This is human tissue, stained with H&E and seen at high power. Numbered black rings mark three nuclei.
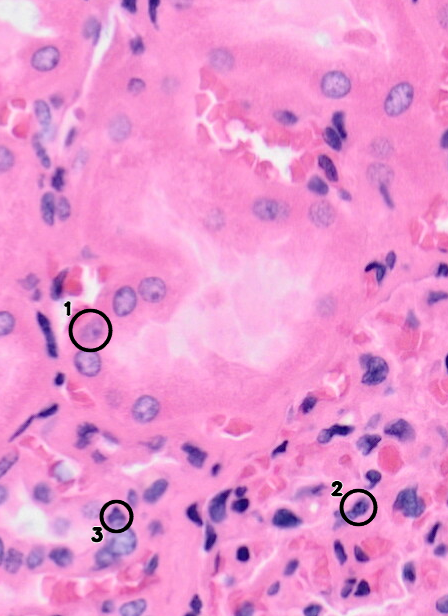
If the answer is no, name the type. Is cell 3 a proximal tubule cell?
No, it is a collecting duct cell.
